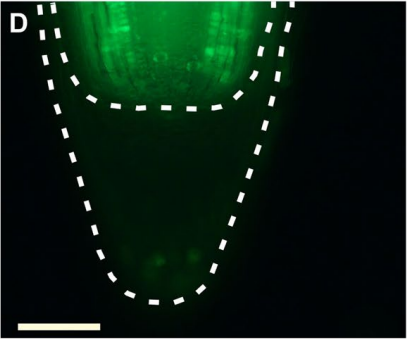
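The tip of a root is seen lengthwise, with a dome-shaped root body above and a cone-shaped root cap below, the two outlined by dashed lines. Green fluorescence lies in some of the cells of the root body, where rows of cells are faintly visible. The root cap below the inner dashed line is almost dark.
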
